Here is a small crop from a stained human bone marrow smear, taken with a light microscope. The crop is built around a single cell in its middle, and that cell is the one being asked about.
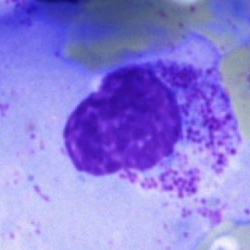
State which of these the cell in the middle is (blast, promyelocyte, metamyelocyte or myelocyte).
myelocyte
